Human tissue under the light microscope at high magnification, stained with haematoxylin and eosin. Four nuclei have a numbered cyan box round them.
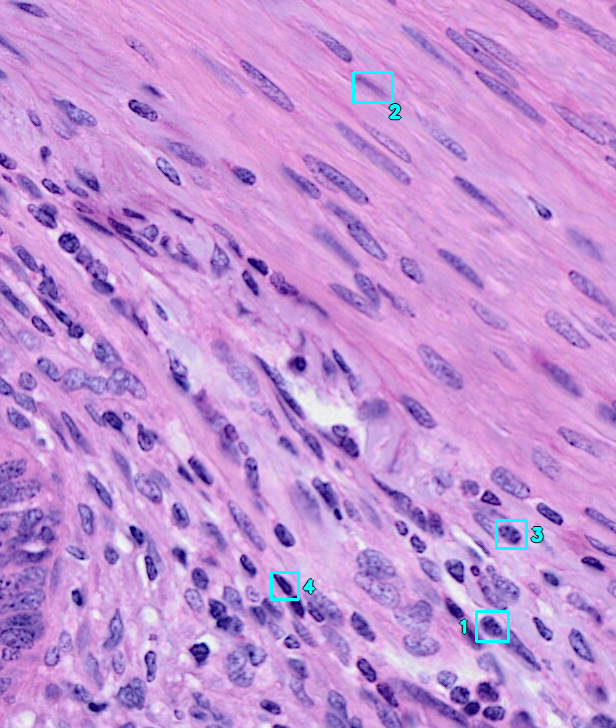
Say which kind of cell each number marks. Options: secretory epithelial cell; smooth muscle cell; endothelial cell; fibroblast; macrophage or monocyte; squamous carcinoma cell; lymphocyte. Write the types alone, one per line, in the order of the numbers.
lymphocyte
smooth muscle cell
lymphocyte
lymphocyte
